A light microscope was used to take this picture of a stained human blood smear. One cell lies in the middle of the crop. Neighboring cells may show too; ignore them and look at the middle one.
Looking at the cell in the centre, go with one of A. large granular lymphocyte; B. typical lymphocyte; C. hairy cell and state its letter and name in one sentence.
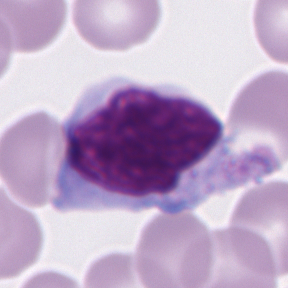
The middle cell of the crop is a large granular lymphocyte; accordingly, option A is correct.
